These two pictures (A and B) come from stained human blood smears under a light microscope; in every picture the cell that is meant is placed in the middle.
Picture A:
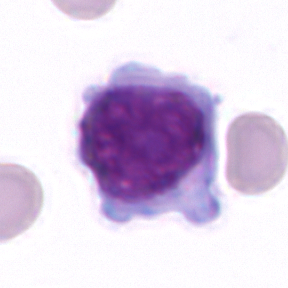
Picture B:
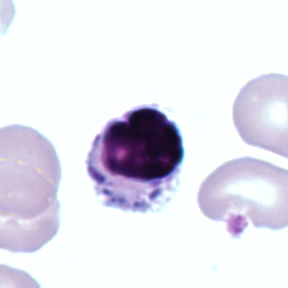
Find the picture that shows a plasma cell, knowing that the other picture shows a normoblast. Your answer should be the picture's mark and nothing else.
A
